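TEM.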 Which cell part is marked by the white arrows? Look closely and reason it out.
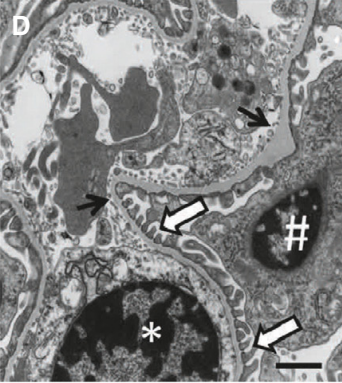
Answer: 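Podocyte foot processes. The white arrows point to a row of small regular cytoplasmic feet resting on a thin dense band.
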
